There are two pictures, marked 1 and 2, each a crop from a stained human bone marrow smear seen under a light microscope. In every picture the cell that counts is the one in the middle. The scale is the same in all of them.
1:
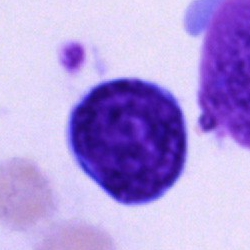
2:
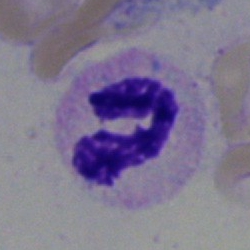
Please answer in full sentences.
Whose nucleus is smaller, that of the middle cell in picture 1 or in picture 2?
The nucleus in picture 2 is smaller; the one in picture 1 has about 2 times its area.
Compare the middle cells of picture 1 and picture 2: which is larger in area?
The cell in picture 2 is larger, with about 1.5 times the area of the one in picture 1.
